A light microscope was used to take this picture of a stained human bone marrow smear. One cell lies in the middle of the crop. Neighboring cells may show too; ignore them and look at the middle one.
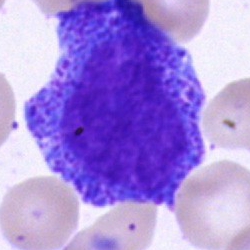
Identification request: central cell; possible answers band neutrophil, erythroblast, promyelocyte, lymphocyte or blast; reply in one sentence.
The central cell, amid any neighbouring cells, is a promyelocyte.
